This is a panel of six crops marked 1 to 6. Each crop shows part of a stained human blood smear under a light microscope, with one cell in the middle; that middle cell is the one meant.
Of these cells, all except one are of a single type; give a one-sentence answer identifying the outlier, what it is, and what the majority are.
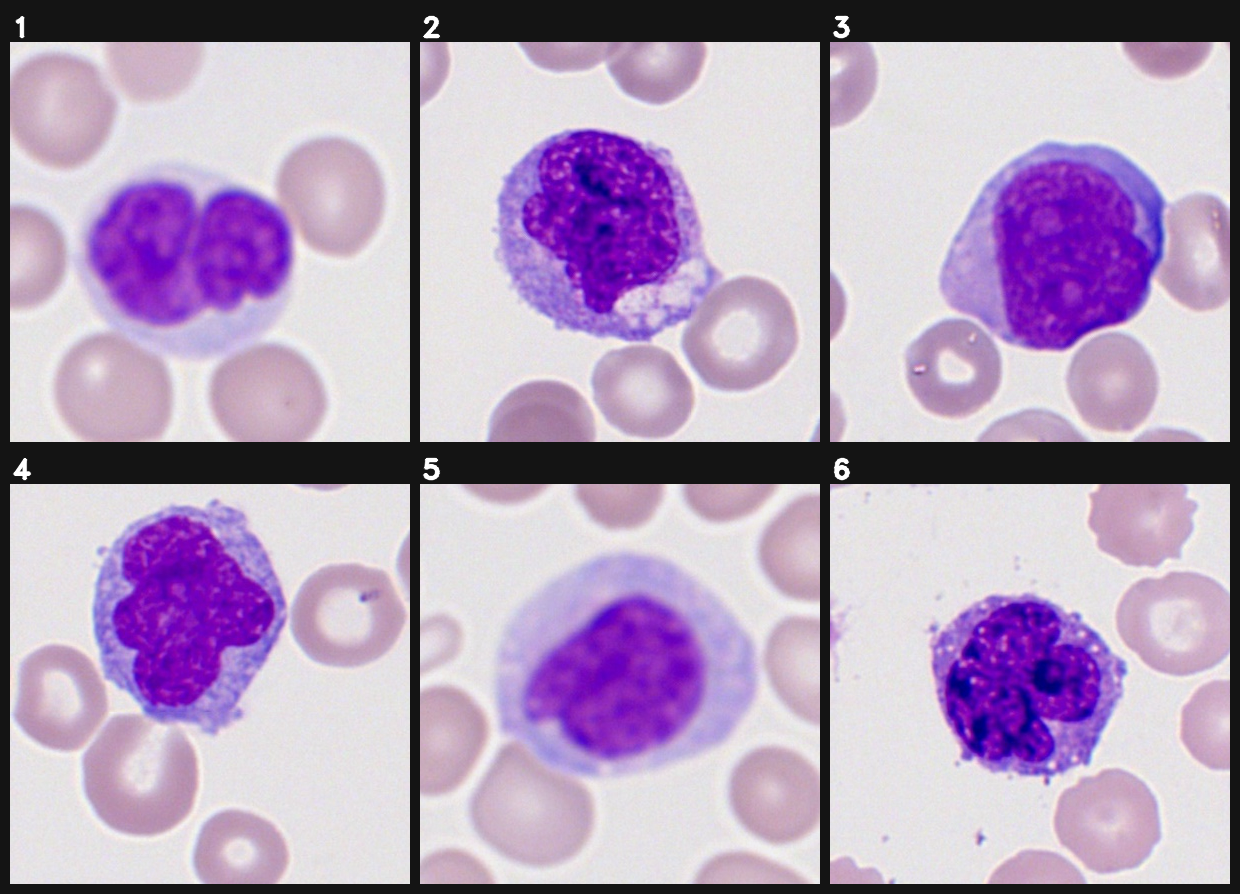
Unlike the rest, which all show monocytes, crop 3 contains a myeloblast.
